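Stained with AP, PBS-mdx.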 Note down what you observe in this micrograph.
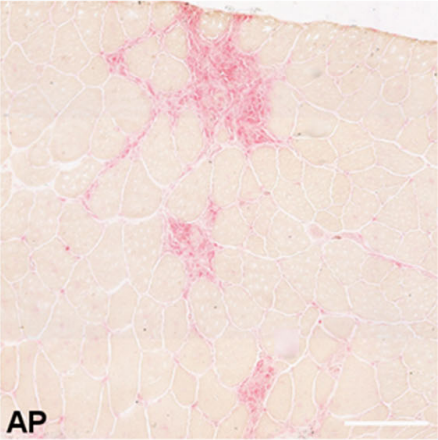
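The fibres are polygonal, of varying size, and outlined by fine pale borders. The pink-red stain is concentrated in irregular patches between fibres, largest just below the top edge of the section, with smaller patches in a line below it. Thin pink lines also run along some fibre borders. The interior of the fibres remains largely unstained.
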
